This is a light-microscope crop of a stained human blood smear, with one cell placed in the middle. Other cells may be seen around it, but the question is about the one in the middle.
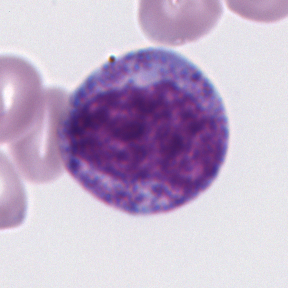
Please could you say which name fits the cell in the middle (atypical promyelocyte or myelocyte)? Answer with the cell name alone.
myelocyte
